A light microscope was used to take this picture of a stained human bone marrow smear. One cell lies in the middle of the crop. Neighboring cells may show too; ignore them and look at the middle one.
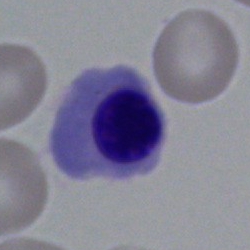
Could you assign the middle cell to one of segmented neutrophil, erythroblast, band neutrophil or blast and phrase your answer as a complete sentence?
The cell occupying the middle of the crop is an erythroblast.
